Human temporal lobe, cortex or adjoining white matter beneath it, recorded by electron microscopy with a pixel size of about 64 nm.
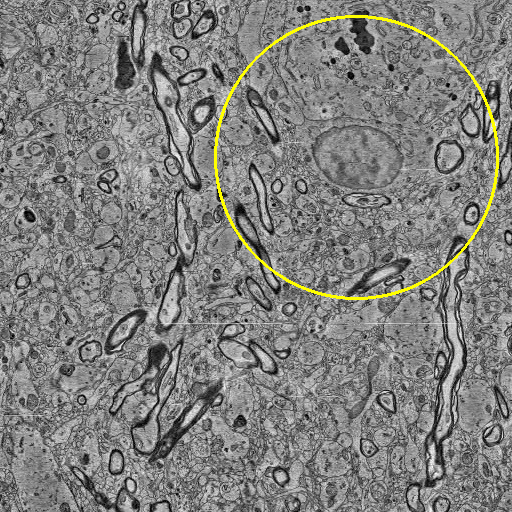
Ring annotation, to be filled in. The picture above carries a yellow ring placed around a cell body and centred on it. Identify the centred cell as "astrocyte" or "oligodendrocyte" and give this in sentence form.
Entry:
The cell in the middle of the ring is an oligodendrocyte.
